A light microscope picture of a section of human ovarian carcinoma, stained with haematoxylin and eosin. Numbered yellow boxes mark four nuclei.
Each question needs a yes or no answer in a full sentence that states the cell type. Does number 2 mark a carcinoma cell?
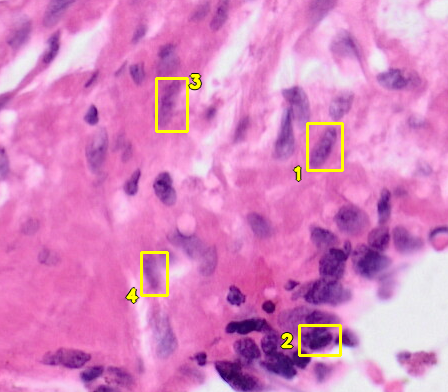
Yes, the cell at number 2 is a carcinoma cell.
